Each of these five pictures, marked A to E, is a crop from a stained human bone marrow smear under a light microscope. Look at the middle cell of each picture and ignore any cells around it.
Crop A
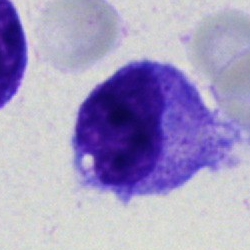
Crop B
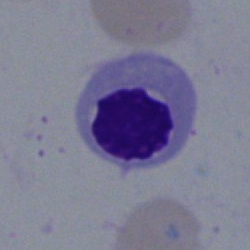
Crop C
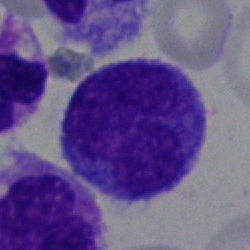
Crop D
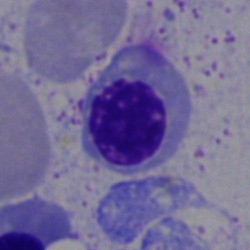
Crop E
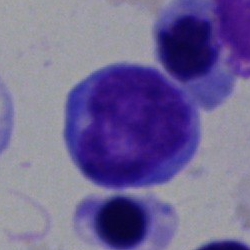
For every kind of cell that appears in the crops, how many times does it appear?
erythroblast: 2
blast: 2
myelocyte: 1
